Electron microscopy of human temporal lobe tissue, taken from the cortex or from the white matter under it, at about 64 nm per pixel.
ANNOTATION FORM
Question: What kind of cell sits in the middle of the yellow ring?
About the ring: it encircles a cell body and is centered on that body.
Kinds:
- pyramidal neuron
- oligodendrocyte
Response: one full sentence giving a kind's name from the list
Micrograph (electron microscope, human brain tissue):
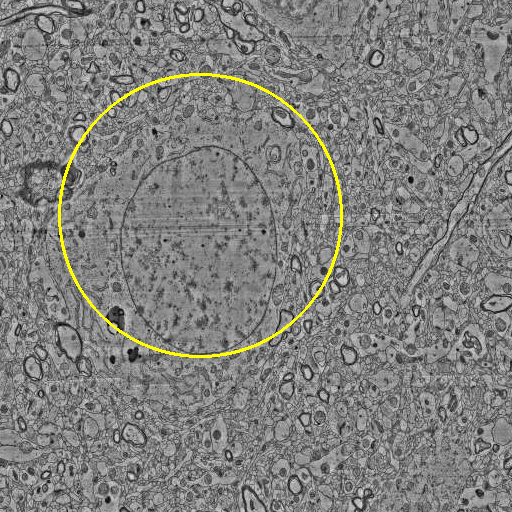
The kind of cell found at the center of the yellow ring in the micrograph is a pyramidal neuron.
